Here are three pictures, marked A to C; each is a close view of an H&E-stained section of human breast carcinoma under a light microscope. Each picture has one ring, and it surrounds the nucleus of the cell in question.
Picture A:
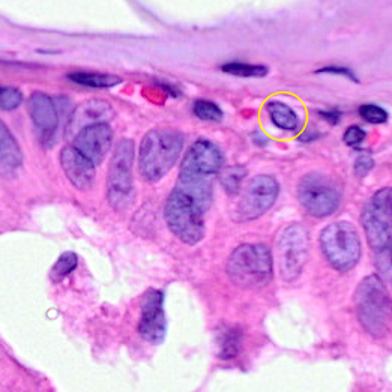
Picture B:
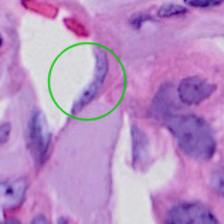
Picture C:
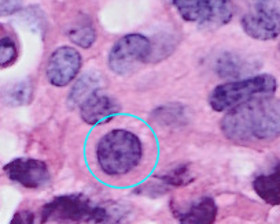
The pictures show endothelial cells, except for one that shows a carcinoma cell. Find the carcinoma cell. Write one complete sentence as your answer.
It is picture C that shows the carcinoma cell.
